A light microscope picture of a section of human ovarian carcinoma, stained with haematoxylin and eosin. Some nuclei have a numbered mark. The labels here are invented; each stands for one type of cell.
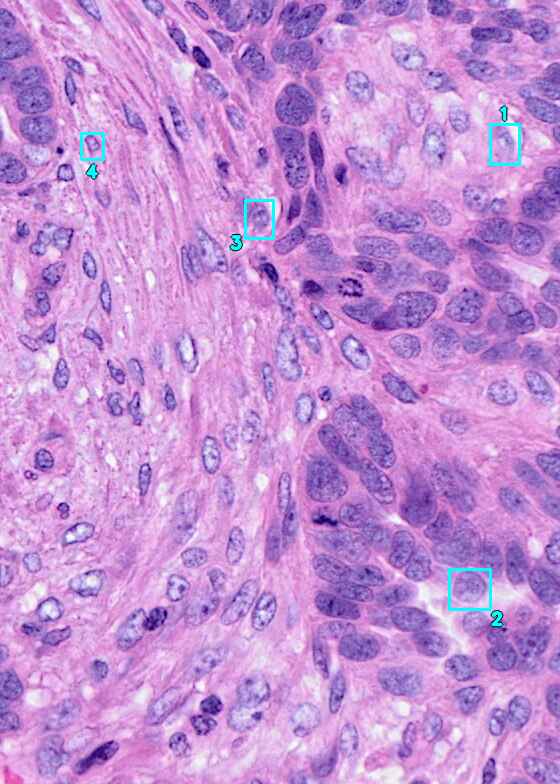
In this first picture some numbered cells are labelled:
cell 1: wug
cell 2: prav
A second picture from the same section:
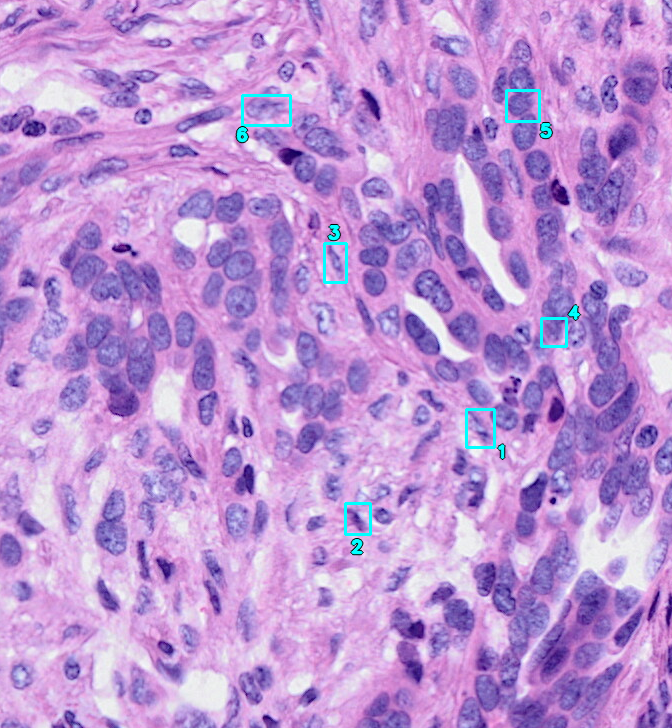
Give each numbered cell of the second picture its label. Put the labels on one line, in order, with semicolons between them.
wug; wug; wug; prav; prav; wug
